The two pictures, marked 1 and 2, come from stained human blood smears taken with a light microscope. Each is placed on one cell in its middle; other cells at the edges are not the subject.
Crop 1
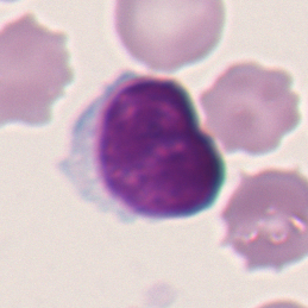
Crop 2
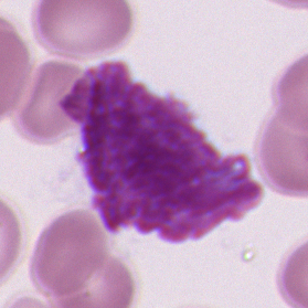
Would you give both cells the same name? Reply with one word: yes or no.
no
